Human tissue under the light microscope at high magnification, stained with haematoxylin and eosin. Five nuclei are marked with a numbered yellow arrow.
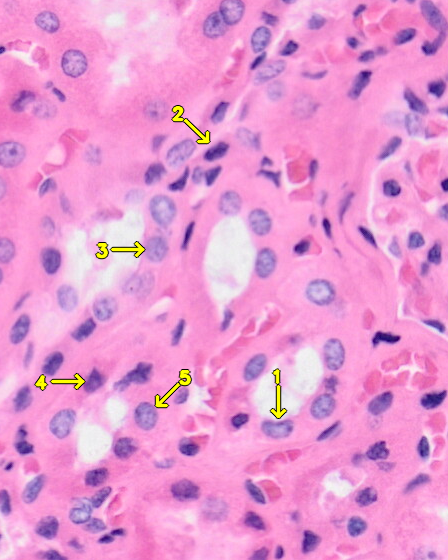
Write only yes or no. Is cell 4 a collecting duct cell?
no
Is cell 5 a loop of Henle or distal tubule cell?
yes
